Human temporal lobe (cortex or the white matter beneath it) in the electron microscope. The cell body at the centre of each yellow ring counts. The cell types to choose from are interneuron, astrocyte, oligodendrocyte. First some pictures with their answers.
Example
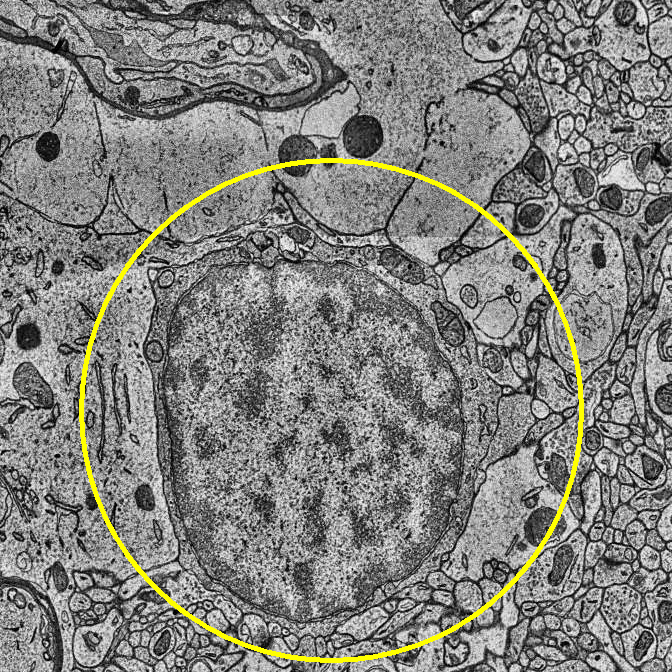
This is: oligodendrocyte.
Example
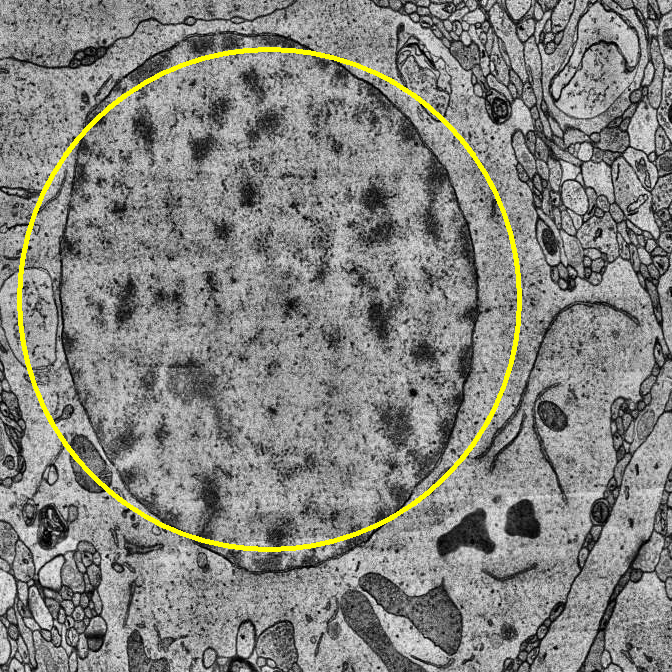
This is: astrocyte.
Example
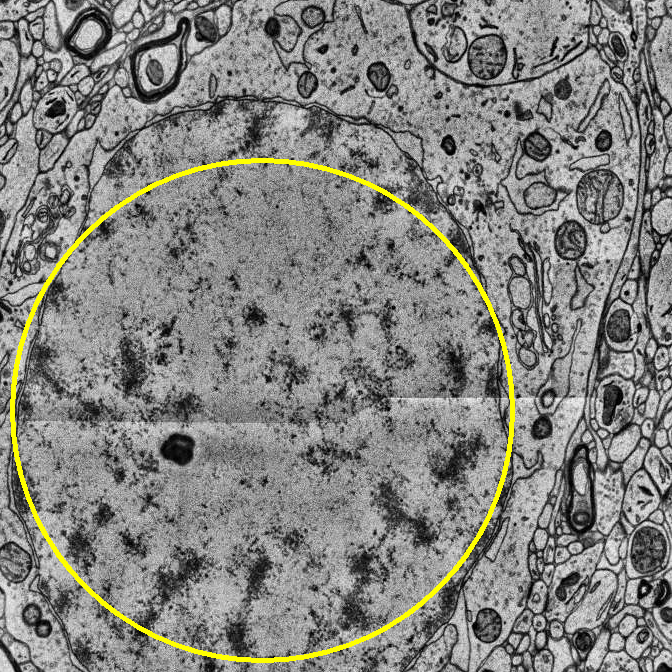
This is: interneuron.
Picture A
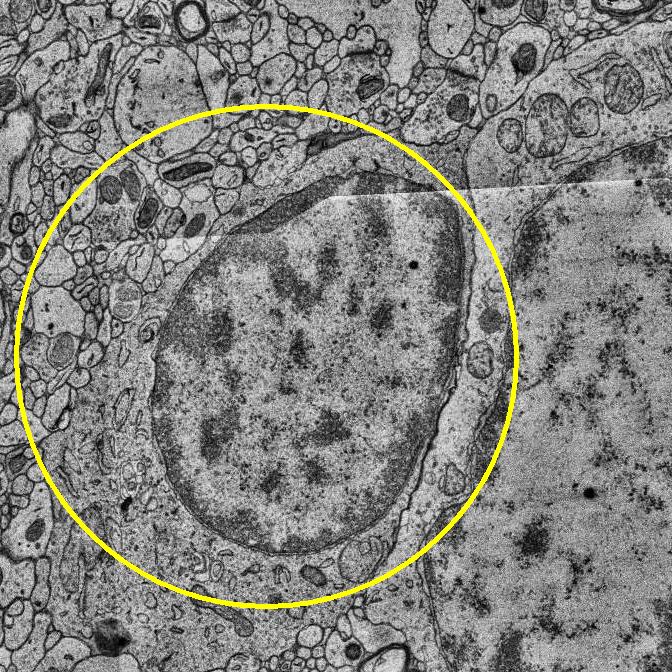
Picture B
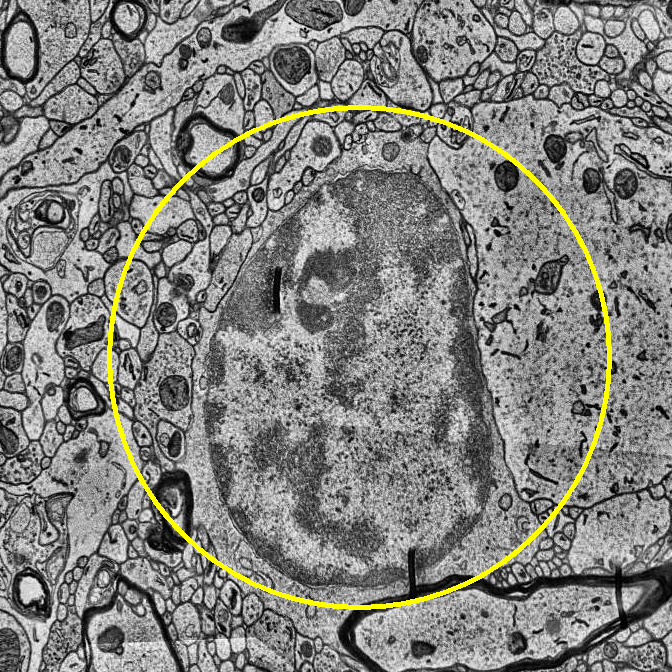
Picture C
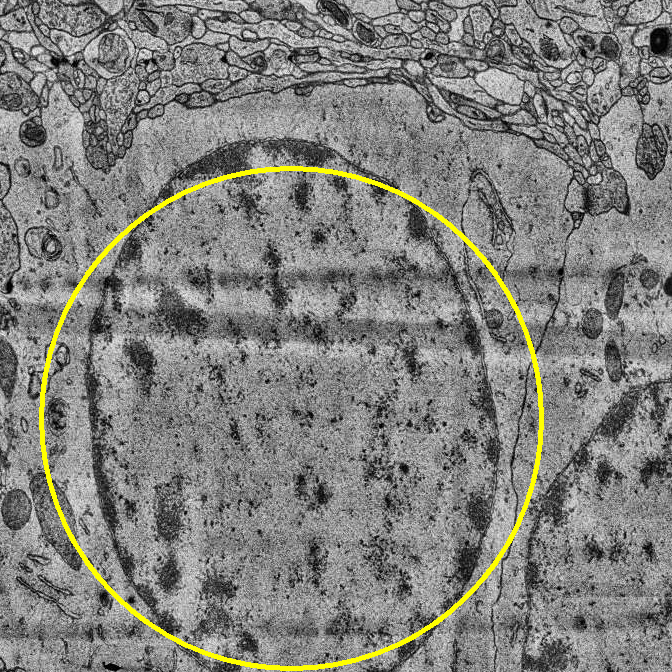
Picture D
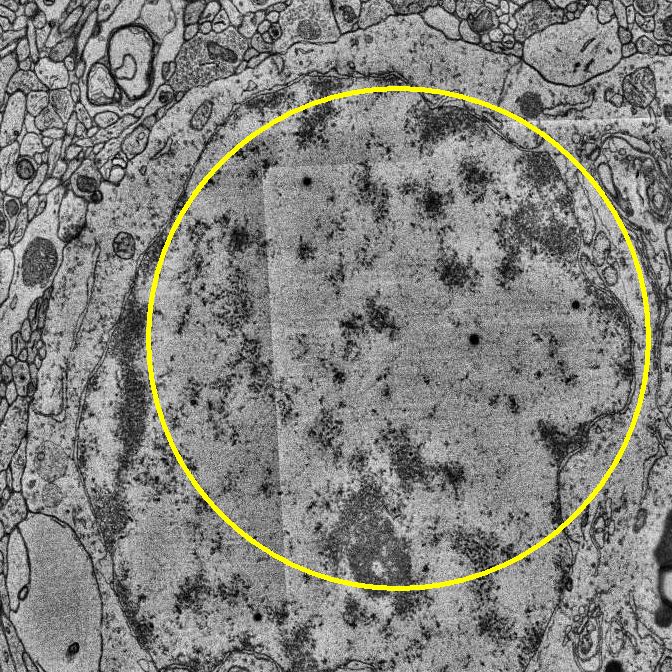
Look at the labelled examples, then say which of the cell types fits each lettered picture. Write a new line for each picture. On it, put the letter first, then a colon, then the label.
A: oligodendrocyte.
B: oligodendrocyte.
C: astrocyte.
D: interneuron.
